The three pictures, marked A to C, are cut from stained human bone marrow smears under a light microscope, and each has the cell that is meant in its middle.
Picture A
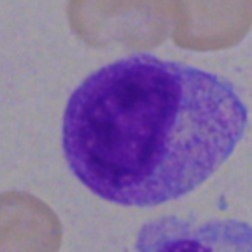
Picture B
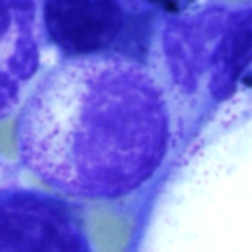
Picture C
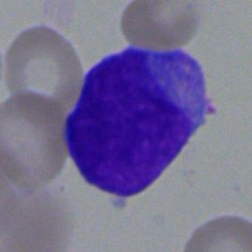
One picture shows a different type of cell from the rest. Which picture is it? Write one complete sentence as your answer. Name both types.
The different one is picture C; it shows a blast, whereas all the others show myelocytes.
